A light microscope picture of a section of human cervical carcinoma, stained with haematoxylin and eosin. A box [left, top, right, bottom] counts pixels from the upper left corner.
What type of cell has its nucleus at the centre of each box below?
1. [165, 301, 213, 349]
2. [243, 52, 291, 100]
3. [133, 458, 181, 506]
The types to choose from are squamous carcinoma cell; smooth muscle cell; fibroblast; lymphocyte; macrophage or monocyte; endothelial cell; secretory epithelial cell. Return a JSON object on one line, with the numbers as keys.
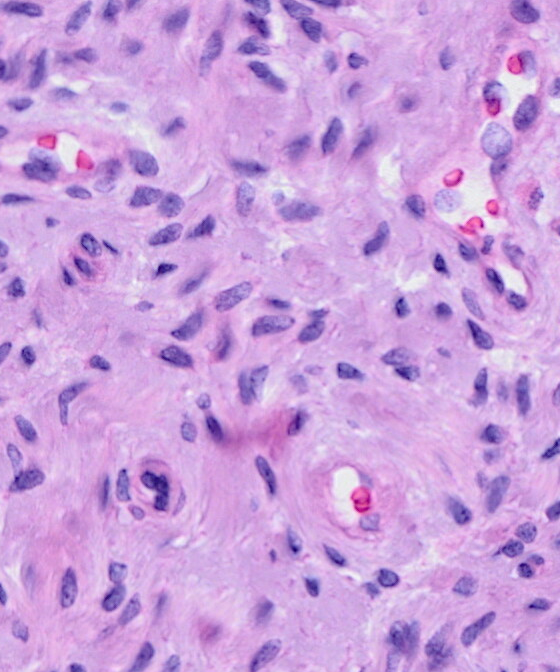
{"1": "fibroblast", "2": "fibroblast", "3": "endothelial cell"}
